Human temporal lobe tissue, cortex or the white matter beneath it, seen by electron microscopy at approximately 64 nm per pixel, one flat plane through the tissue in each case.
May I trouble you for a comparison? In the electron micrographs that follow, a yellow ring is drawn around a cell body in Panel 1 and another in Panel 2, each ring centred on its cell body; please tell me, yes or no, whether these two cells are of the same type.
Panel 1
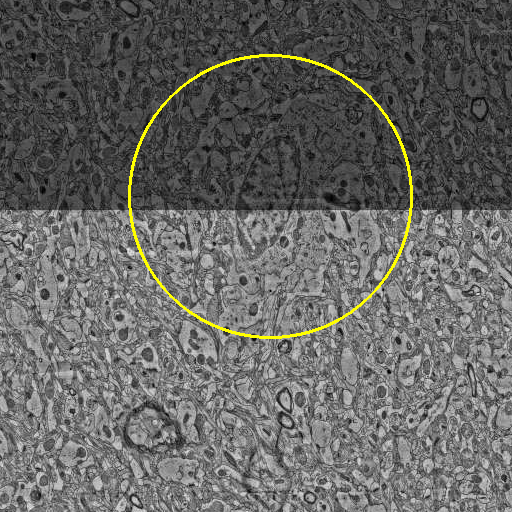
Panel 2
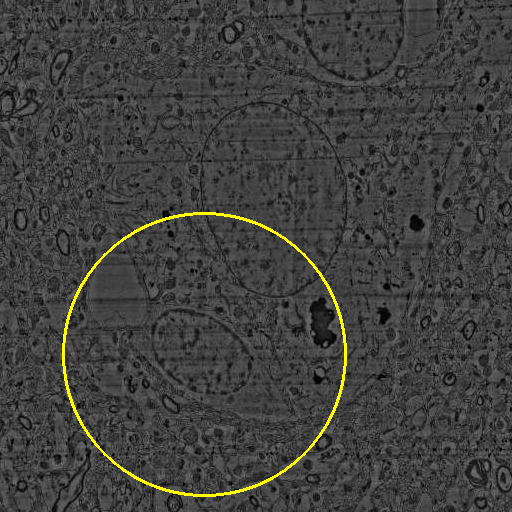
yes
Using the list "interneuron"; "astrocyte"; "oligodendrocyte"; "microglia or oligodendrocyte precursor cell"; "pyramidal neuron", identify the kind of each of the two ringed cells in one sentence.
In each of the two pictures, the ringed cell is a microglial cell or oligodendrocyte precursor cell.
